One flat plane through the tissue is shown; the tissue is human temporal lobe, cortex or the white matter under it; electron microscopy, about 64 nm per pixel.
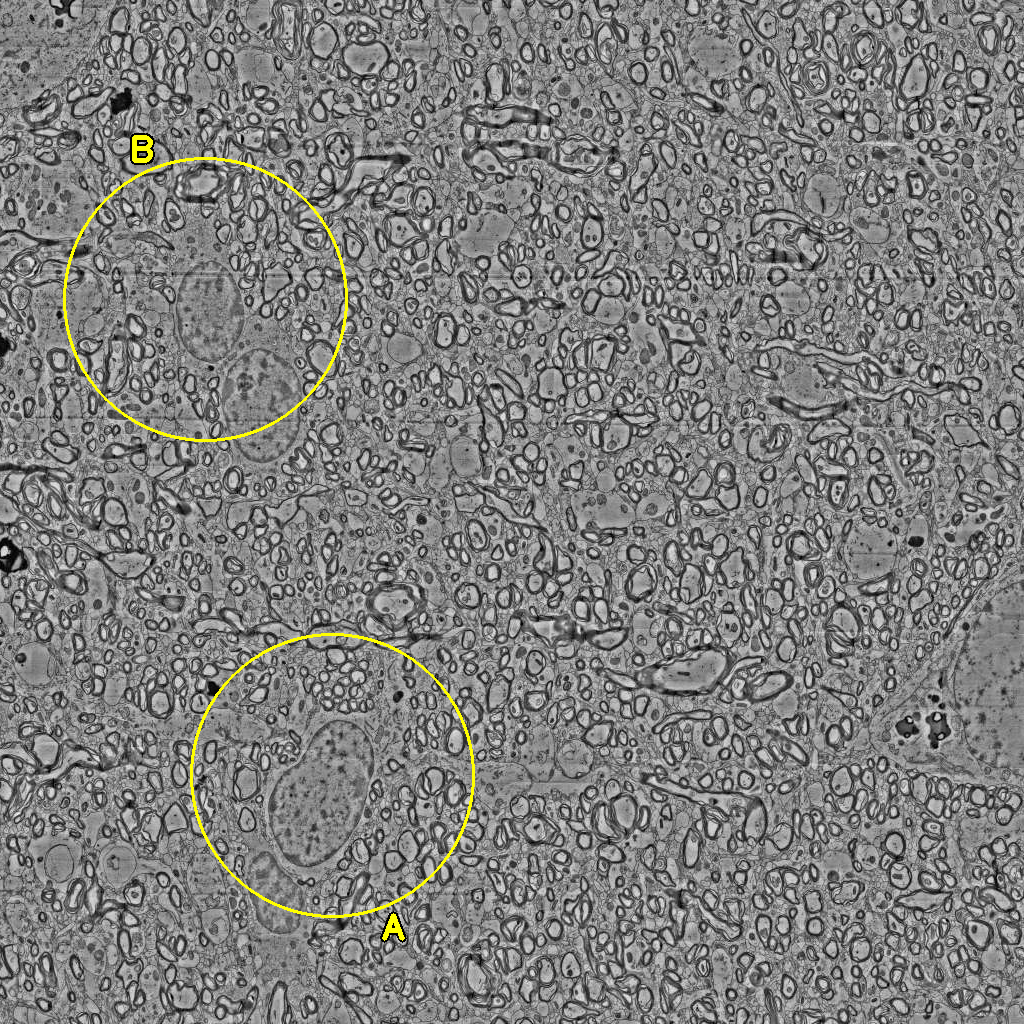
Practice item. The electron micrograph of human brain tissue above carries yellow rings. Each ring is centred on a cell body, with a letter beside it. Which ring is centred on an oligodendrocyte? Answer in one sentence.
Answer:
Ring B is centred on it.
